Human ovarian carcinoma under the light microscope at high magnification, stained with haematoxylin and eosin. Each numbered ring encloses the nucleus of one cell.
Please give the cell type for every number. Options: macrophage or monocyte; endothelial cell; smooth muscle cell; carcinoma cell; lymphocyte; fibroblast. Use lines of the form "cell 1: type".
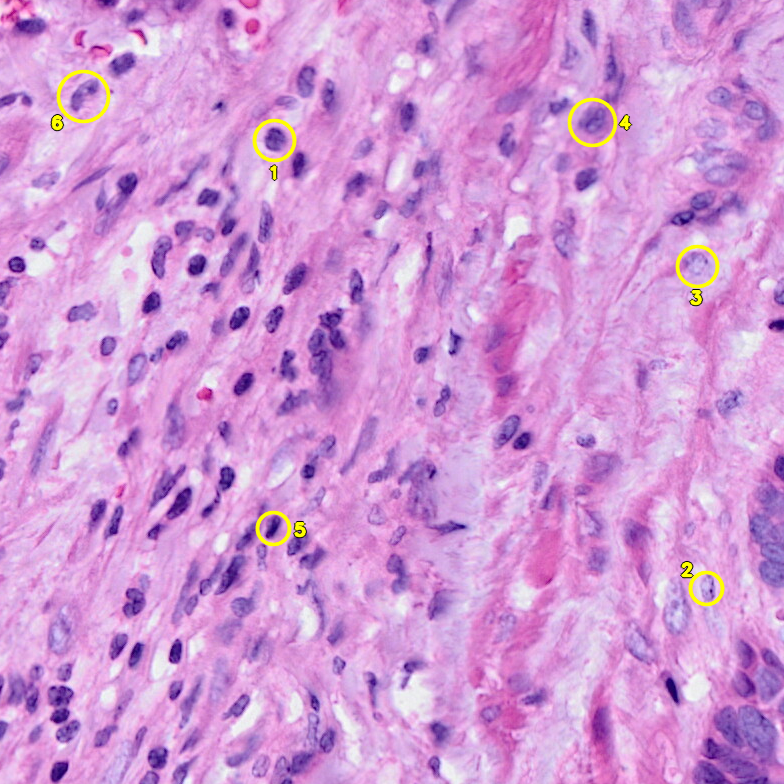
cell 1: lymphocyte
cell 2: fibroblast
cell 3: fibroblast
cell 4: endothelial cell
cell 5: lymphocyte
cell 6: macrophage or monocyte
